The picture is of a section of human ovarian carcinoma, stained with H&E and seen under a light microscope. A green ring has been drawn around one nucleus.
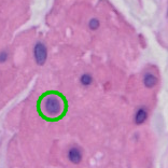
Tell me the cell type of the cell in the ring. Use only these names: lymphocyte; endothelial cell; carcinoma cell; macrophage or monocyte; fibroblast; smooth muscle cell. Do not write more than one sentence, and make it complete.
As for its identity, the cell in the ring is a smooth muscle cell.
